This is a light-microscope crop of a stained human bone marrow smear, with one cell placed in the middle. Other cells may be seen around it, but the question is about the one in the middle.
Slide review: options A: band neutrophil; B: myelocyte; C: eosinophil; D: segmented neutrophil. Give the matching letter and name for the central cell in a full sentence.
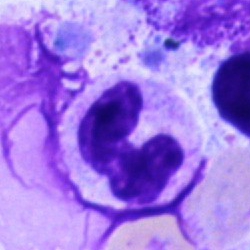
Option D, which names the central cell as a segmented neutrophil, is correct.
